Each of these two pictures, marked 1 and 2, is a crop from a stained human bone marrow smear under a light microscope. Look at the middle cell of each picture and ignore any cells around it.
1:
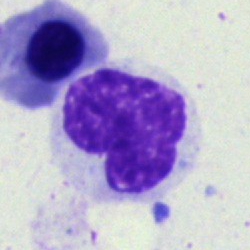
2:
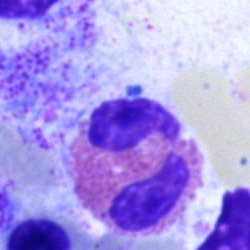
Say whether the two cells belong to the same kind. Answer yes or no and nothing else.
no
